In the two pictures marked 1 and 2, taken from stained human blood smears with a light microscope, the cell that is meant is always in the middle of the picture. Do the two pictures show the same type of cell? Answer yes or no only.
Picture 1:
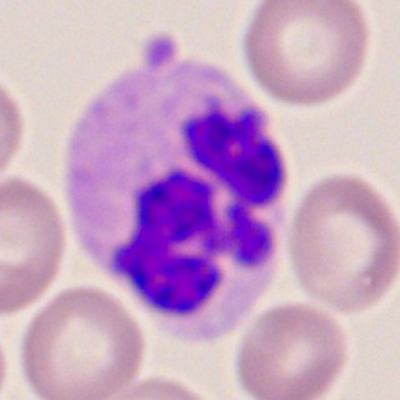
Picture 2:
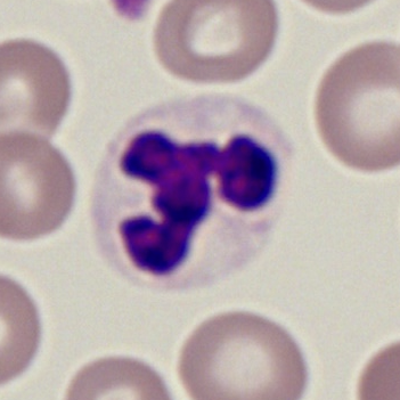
yes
